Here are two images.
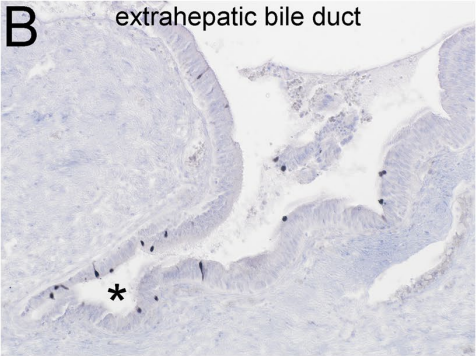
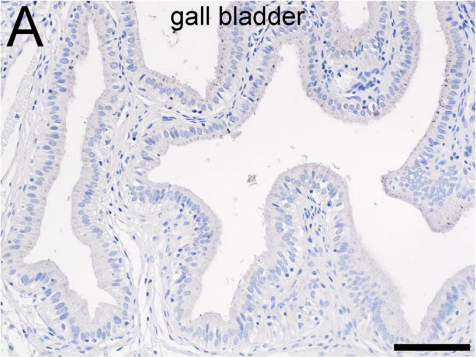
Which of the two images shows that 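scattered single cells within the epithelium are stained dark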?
The first image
